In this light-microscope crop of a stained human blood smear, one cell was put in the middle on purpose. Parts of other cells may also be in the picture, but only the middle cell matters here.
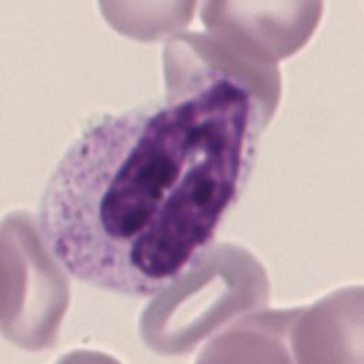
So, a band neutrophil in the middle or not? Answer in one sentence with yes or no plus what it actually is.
No, instead of being a band neutrophil, the middle cell is a segmented neutrophil.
